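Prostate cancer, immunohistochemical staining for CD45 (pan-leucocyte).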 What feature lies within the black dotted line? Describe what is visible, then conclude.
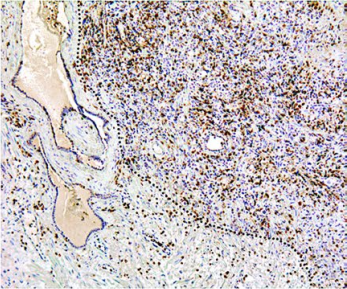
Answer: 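A dotted line separates a densely cellular area at upper right from paler fibrous tissue at lower left. That points to this answer: border between tumor and stroma.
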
